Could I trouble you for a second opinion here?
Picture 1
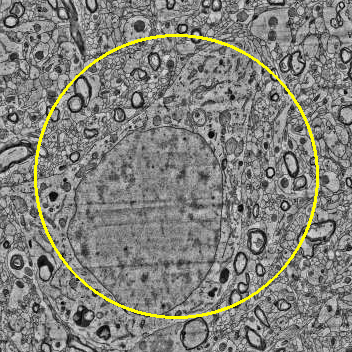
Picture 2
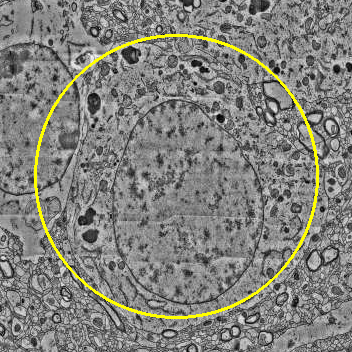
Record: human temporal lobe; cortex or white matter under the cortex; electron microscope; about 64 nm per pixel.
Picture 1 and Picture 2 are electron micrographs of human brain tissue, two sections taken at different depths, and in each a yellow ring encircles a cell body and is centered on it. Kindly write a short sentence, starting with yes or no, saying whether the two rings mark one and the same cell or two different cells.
No, the marked cells are two, not one.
